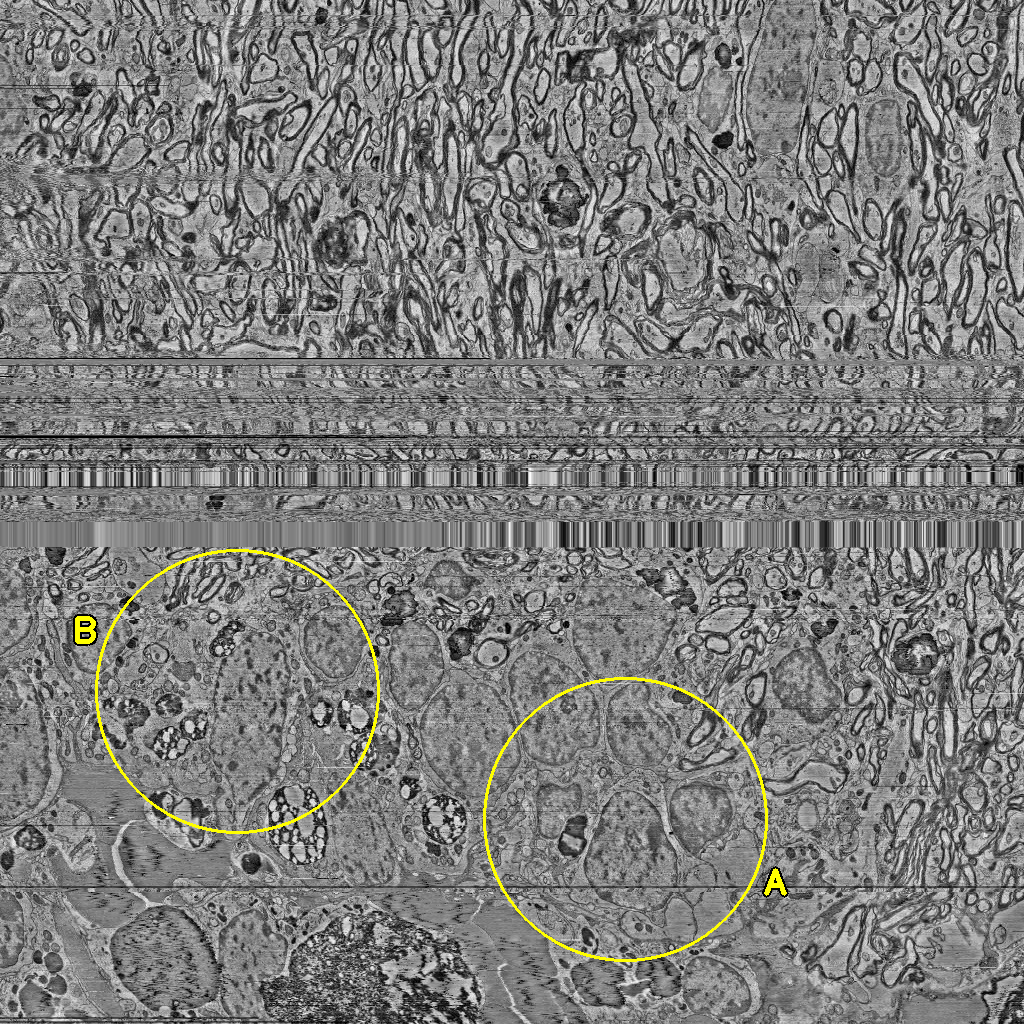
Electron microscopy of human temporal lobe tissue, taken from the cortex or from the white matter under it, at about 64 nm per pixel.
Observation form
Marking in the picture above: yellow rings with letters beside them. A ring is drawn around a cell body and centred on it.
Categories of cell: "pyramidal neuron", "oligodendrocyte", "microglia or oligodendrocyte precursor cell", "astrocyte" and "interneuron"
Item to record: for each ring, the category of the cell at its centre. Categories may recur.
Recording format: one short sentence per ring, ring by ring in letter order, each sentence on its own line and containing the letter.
Ring A is placed on a microglial cell or oligodendrocyte precursor cell.
Ring B is placed on an astrocyte.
